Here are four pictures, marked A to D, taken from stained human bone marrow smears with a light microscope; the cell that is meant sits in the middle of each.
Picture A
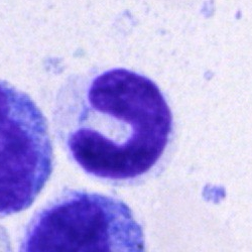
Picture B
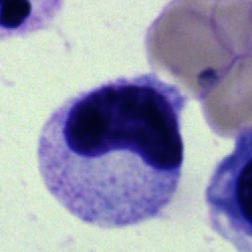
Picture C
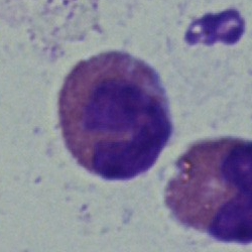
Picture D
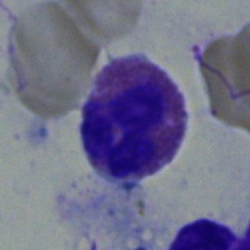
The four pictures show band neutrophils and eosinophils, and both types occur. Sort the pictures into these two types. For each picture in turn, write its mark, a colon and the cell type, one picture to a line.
A: band neutrophil
B: band neutrophil
C: eosinophil
D: eosinophil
